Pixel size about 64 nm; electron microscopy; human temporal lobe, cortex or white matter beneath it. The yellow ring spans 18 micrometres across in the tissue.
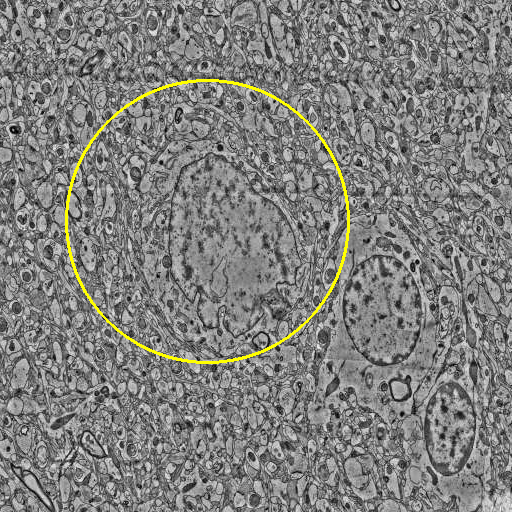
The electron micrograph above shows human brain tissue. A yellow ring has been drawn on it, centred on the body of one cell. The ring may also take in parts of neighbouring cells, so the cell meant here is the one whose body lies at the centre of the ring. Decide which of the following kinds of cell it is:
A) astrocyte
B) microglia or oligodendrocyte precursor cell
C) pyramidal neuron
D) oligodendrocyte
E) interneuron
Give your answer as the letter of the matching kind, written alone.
E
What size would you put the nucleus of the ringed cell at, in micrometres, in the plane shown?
In this plane the nucleus measures roughly 12 by 8 micrometres.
